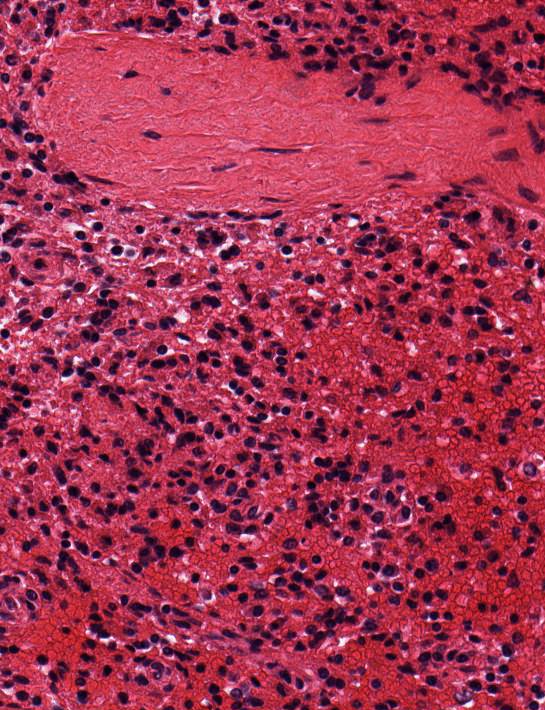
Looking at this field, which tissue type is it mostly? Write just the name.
red pulp of the spleen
